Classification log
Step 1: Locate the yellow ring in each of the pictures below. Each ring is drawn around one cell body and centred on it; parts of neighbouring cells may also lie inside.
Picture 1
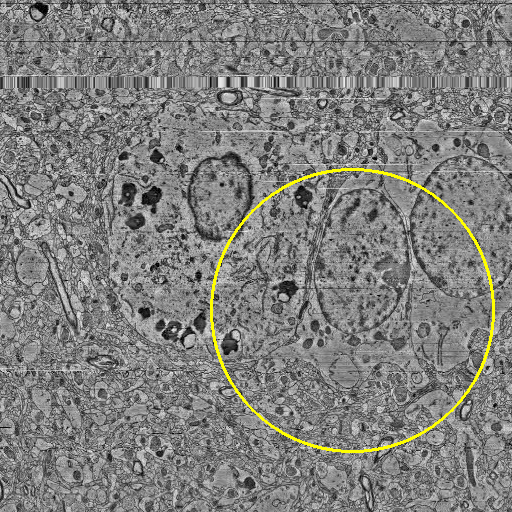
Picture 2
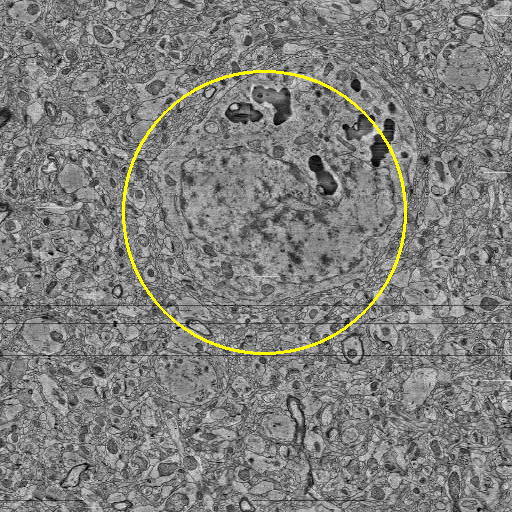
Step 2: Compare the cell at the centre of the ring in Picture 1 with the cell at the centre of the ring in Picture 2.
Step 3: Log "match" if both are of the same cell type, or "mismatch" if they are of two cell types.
mismatch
